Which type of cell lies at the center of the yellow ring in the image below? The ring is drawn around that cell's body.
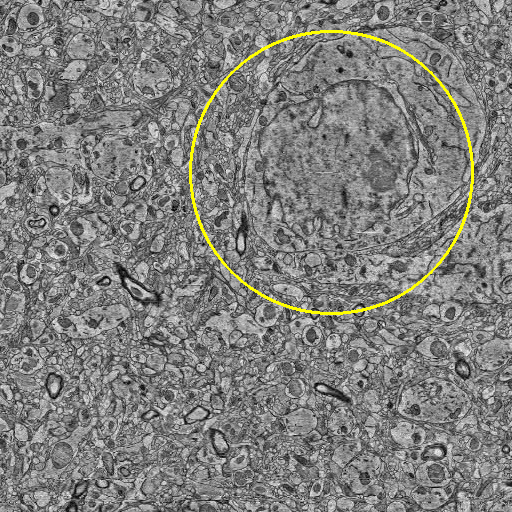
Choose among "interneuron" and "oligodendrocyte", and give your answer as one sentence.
The cell body at the center belongs to an interneuron.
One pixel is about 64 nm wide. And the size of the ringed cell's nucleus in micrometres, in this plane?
Roughly 11 micrometres across, measured in this plane.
